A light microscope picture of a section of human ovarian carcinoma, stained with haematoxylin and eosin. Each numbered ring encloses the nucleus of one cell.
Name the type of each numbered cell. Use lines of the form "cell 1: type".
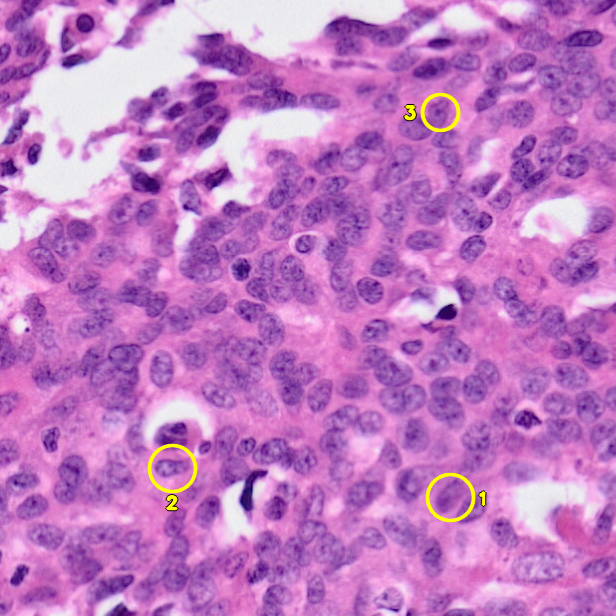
cell 1: carcinoma cell
cell 2: macrophage or monocyte
cell 3: carcinoma cell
